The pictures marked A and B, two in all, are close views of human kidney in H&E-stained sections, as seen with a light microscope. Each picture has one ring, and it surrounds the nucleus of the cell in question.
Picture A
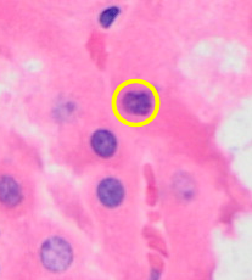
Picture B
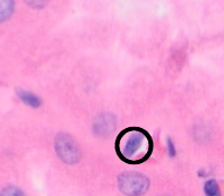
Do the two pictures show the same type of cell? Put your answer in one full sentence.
No. Picture A shows a proximal tubule cell, but picture B shows an endothelial cell.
